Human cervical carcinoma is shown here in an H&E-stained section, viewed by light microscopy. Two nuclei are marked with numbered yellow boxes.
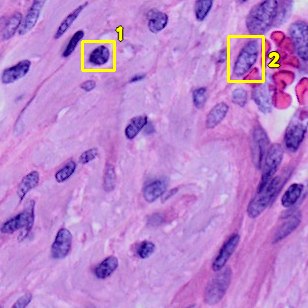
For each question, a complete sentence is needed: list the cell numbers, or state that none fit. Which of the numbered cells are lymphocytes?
Cell 1 is the only numbered cell that is a lymphocyte.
